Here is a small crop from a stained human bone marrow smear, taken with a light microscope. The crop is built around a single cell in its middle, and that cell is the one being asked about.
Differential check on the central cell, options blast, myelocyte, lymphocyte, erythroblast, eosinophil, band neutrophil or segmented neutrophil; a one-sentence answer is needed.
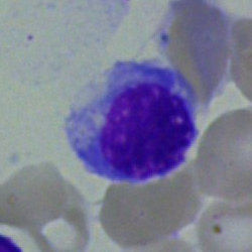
The cell nearest the centre of this crop is an erythroblast.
